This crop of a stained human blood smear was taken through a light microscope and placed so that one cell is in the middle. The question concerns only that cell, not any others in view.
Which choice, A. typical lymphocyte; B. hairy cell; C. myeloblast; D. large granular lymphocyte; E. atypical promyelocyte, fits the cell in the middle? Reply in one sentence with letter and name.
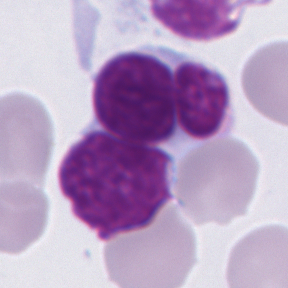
Option C correctly states that the central cell is a myeloblast.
